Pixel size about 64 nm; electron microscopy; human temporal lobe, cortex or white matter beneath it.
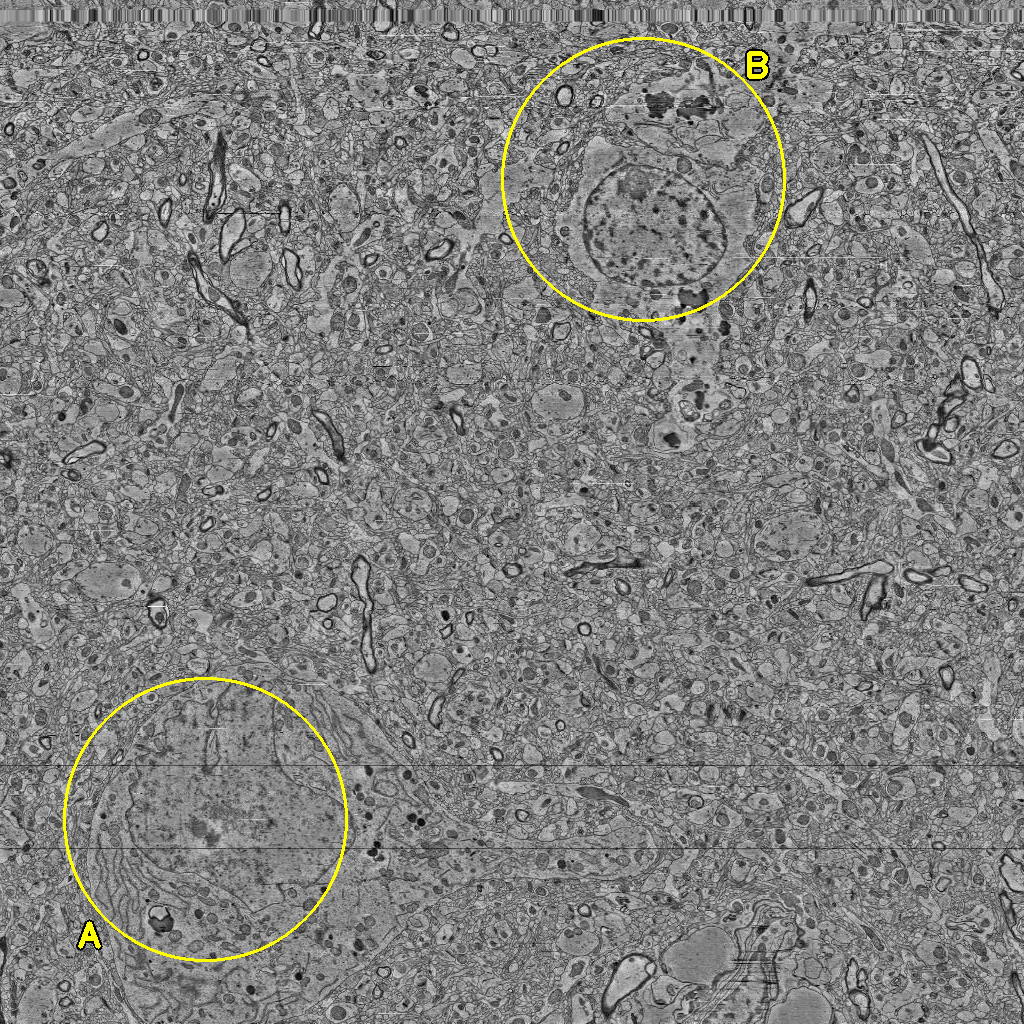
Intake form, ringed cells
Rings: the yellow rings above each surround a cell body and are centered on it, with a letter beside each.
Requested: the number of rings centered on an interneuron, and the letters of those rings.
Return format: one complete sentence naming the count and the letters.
The ring lettered A is the single one among them centred on an interneuron.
